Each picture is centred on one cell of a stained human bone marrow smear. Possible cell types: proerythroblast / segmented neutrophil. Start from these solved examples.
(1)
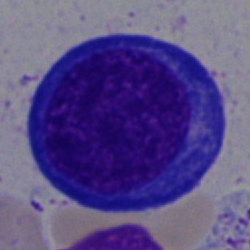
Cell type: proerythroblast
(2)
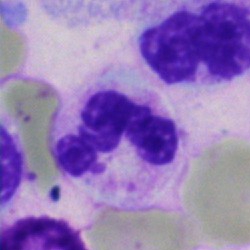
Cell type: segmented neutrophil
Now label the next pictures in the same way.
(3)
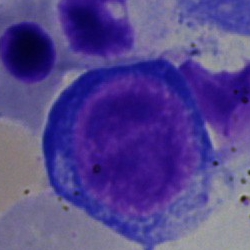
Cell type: proerythroblast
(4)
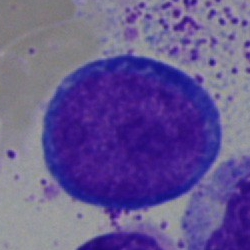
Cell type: proerythroblast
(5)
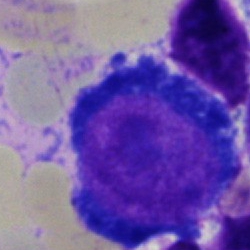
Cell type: proerythroblast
